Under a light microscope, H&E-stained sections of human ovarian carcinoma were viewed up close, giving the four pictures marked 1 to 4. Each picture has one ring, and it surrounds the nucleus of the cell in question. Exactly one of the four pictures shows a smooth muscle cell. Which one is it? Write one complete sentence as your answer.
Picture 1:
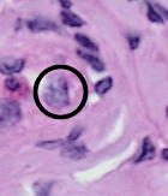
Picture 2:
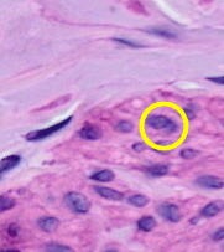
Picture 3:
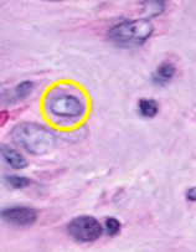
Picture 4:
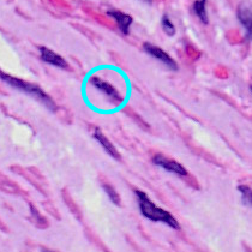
The smooth muscle cell is the one in picture 2.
